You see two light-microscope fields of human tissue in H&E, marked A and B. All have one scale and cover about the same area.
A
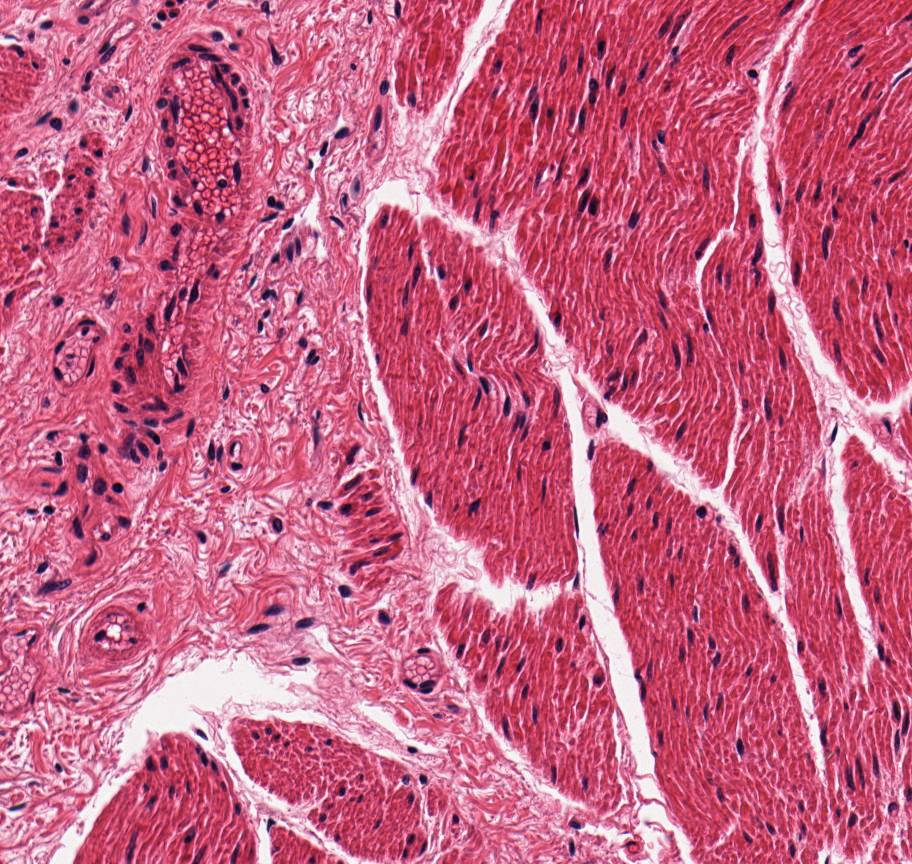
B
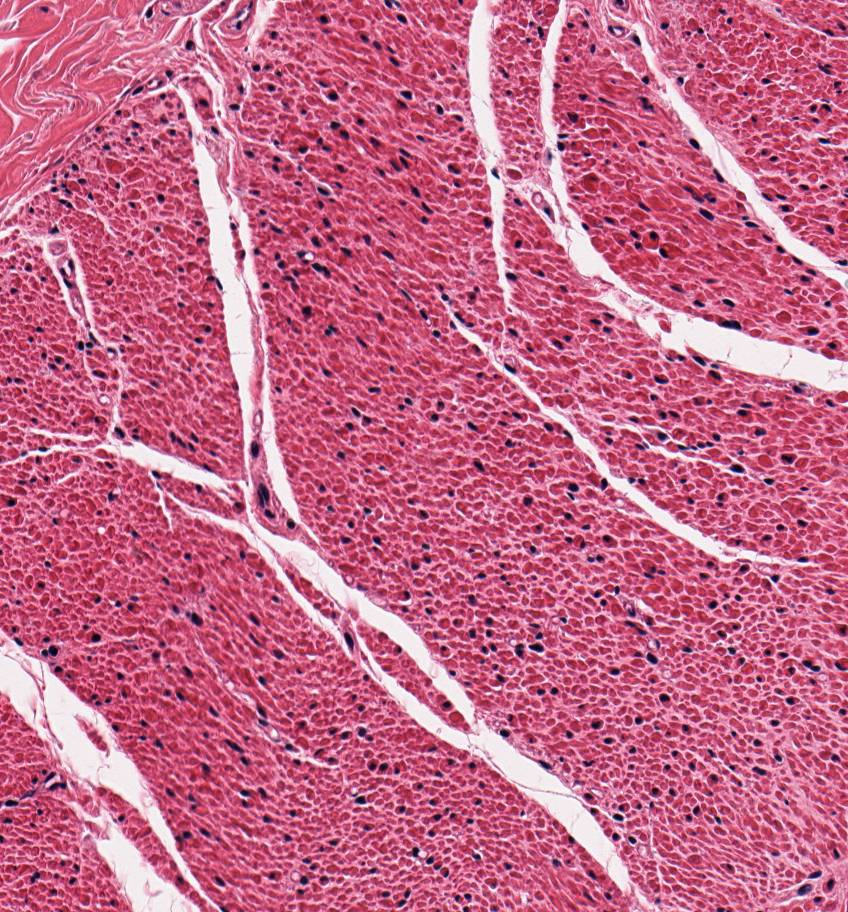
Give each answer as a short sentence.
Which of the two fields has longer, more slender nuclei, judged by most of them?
On the whole the nuclei of field A are more drawn out than those of field B.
